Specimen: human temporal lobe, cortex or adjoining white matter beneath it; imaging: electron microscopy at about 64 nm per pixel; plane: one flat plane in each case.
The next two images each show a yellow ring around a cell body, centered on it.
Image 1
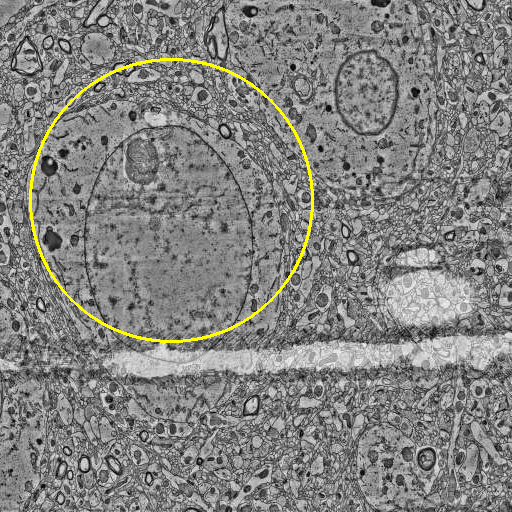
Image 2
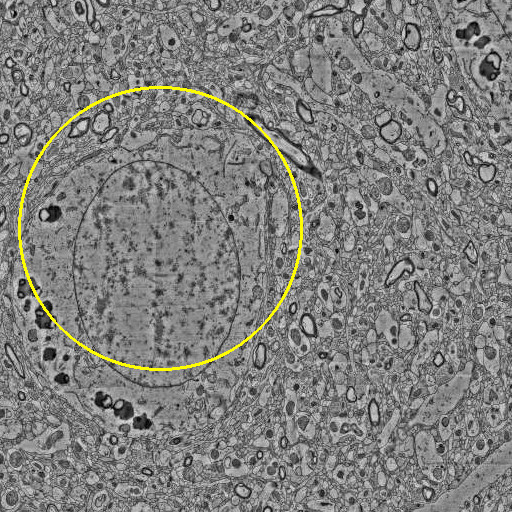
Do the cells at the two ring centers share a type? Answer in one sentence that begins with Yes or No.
Yes, across the two images the cells at the ring centers share one type.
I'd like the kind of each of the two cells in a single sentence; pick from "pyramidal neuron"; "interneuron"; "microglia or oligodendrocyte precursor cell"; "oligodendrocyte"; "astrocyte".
Each of the two pictures has a pyramidal neuron at the ring centre.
